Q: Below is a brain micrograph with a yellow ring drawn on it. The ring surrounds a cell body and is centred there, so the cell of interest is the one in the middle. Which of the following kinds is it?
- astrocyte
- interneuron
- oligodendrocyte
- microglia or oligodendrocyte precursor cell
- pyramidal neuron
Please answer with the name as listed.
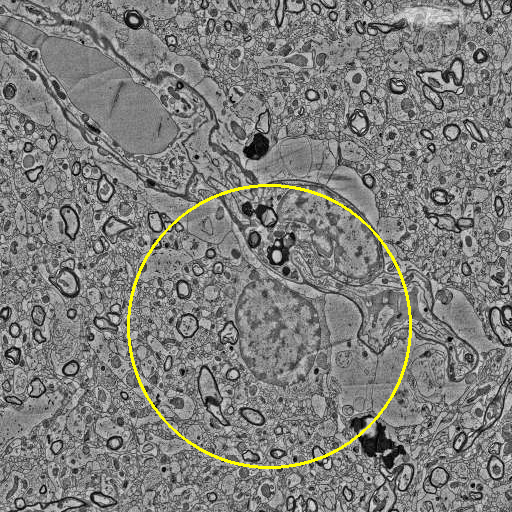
oligodendrocyte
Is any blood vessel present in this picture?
Yes, a blood vessel can be seen.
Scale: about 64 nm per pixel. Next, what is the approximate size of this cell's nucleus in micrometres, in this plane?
The nucleus works out at approximately 7 by 5 micrometres in this plane.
